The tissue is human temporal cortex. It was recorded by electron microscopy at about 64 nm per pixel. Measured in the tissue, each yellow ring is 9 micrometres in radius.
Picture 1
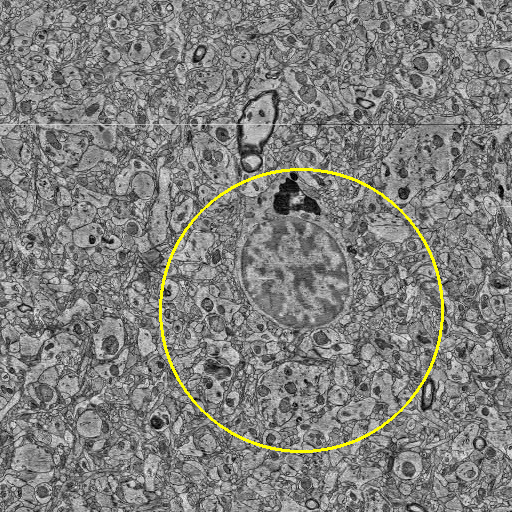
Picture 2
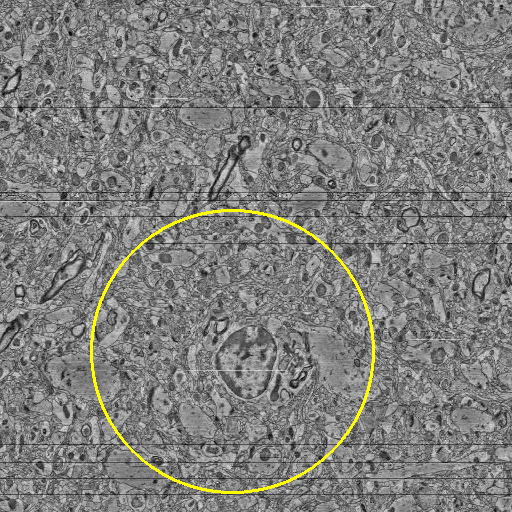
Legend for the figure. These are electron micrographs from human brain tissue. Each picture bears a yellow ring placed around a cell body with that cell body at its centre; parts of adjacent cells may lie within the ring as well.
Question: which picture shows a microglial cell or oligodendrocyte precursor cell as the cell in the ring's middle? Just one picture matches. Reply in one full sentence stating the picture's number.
It is picture 2 whose yellow ring is centred on the requested cell.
